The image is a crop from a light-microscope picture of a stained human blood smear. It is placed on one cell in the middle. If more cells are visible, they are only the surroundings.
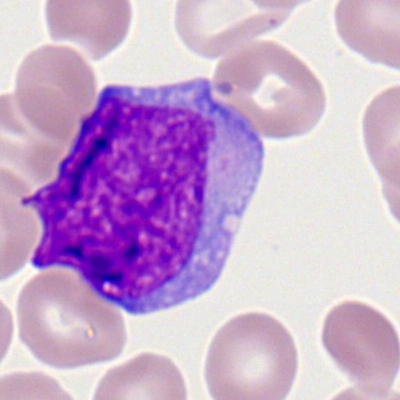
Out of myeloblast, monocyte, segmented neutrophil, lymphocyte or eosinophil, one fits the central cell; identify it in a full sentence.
Occupying the centre of the crop is a myeloblast.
